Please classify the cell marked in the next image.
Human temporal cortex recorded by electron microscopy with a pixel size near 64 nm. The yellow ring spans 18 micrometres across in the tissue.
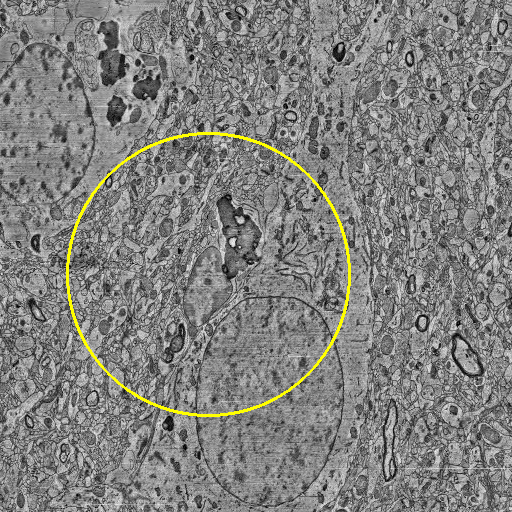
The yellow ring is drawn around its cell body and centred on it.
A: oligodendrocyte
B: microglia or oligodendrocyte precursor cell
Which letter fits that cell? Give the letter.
B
